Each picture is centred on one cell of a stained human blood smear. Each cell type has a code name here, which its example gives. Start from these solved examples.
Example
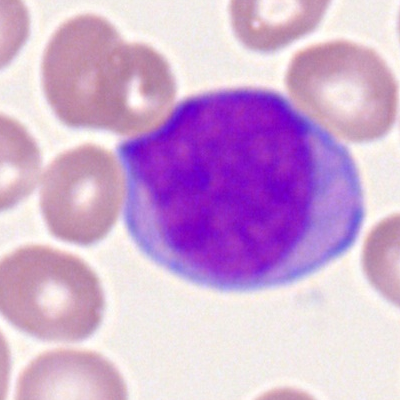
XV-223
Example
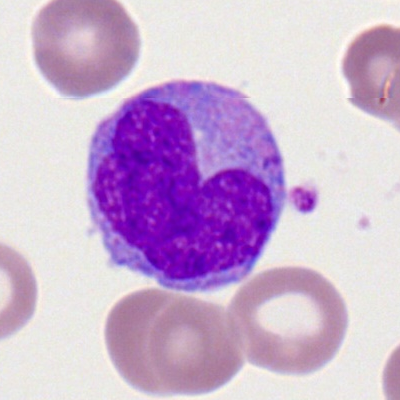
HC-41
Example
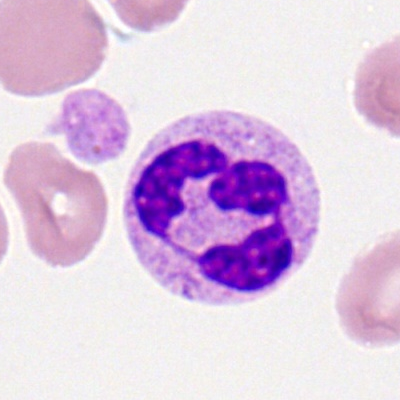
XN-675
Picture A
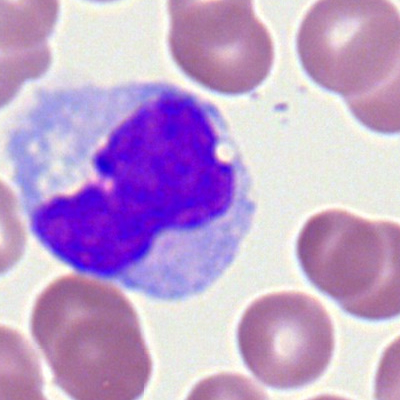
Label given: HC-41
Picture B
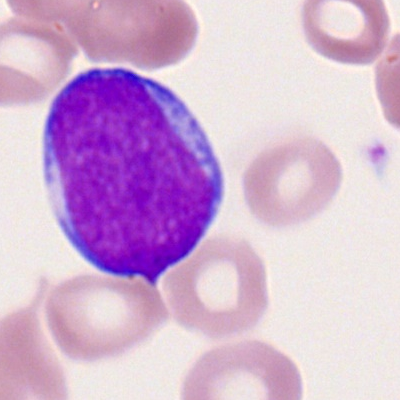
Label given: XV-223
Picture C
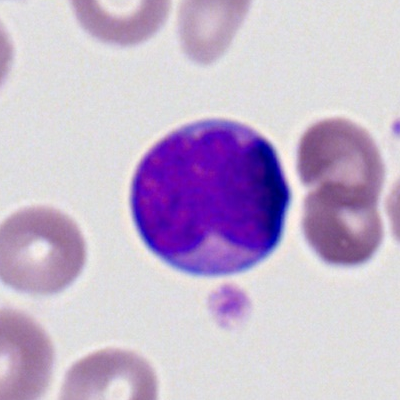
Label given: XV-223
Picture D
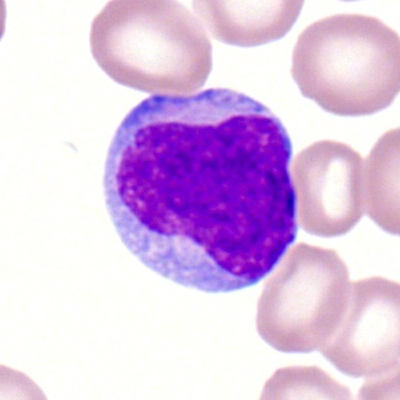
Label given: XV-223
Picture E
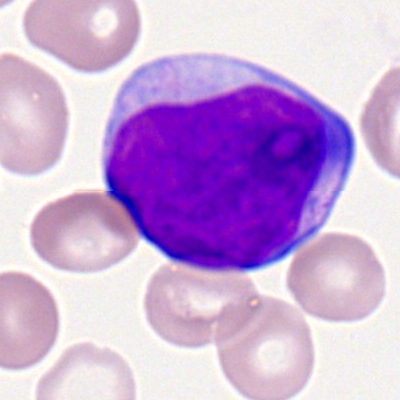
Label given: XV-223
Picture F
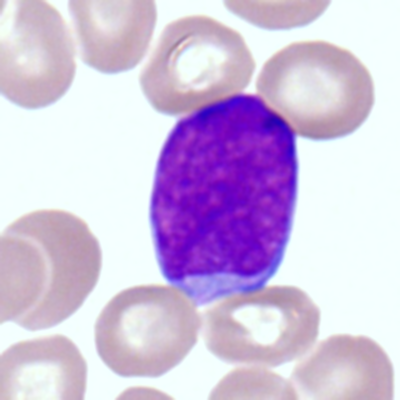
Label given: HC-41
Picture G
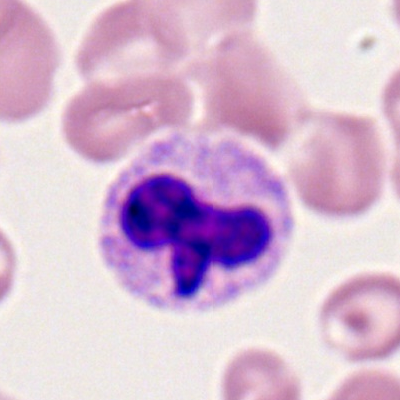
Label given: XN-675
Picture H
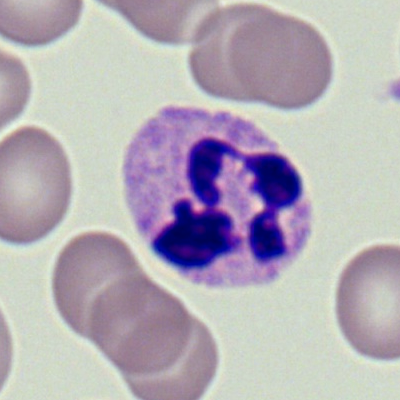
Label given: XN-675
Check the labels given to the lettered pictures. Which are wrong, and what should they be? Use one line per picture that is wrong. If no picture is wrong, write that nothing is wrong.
F: XV-223, not HC-41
